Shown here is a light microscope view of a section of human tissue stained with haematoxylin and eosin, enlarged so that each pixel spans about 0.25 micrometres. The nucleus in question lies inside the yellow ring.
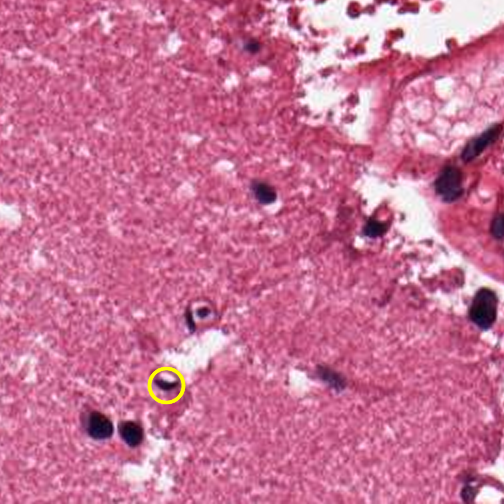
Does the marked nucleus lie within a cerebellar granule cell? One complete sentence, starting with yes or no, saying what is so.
No, it is a supporting cell, not a cerebellar granule cell, to which the marked nucleus belongs.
